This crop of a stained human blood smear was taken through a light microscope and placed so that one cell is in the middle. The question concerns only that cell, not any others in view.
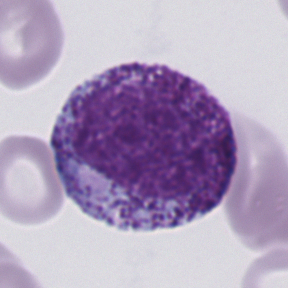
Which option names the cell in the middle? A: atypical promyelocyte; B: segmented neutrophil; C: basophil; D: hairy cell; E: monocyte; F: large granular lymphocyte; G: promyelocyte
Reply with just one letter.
G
